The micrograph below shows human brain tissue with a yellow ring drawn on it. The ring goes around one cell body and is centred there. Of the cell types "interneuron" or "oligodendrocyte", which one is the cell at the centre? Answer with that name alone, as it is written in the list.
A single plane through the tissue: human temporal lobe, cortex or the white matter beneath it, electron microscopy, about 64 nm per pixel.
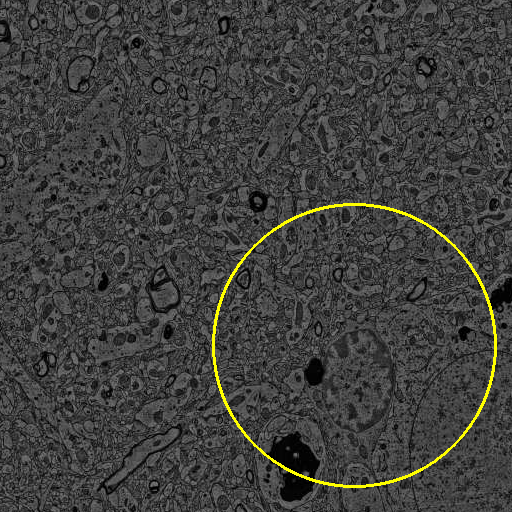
oligodendrocyte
